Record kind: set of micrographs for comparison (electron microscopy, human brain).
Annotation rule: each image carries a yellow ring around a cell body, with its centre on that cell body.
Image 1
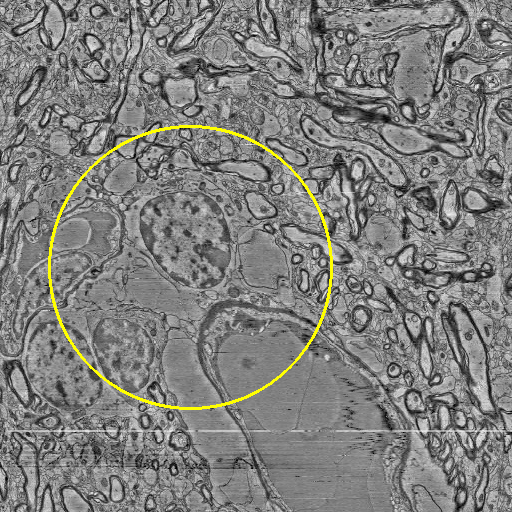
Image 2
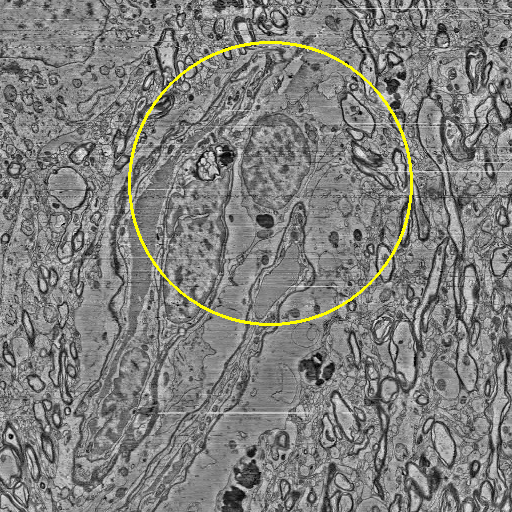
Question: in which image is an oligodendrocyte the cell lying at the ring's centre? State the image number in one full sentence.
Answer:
In image 2, the ring is centred on the cell in question.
